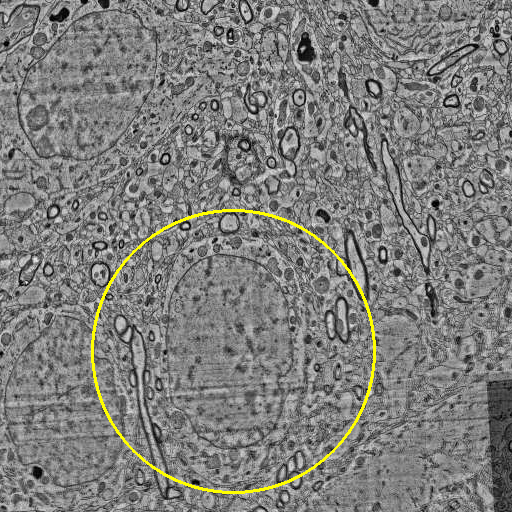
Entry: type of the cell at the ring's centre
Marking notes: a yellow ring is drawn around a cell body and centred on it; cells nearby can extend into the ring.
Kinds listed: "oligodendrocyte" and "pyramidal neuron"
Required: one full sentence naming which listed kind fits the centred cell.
My entry names a pyramidal neuron as the cell whose body the yellow ring centres on.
